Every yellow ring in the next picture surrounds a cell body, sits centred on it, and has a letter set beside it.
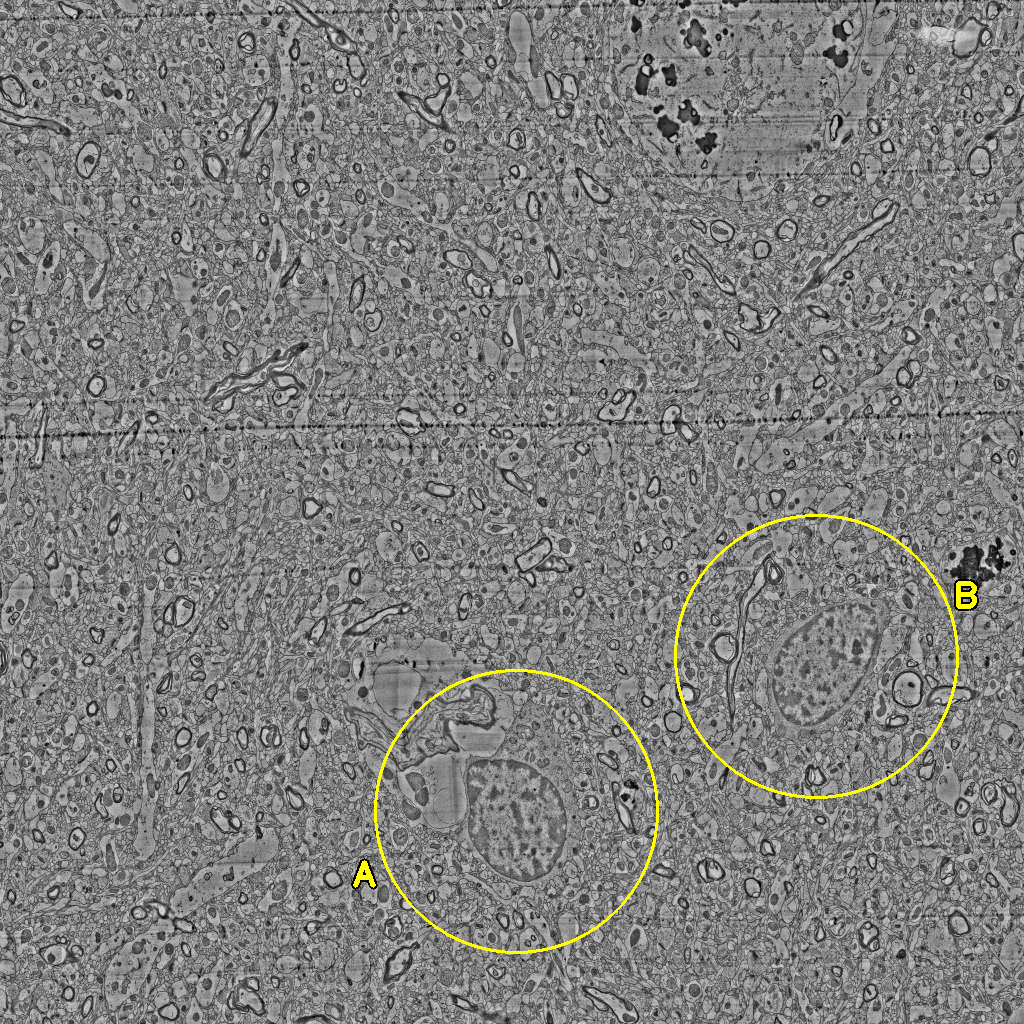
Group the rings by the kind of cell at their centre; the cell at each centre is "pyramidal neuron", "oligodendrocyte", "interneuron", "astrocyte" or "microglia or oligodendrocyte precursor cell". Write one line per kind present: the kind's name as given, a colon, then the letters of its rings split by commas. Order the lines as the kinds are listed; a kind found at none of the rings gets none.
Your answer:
oligodendrocyte: A, B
